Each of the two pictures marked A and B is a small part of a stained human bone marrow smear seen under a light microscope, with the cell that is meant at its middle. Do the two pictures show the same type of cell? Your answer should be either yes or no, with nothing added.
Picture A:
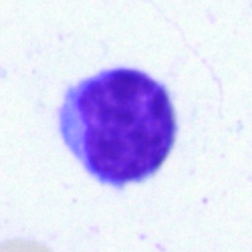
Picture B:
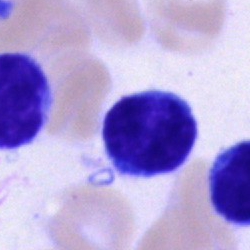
yes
